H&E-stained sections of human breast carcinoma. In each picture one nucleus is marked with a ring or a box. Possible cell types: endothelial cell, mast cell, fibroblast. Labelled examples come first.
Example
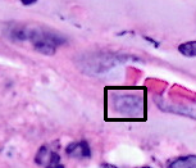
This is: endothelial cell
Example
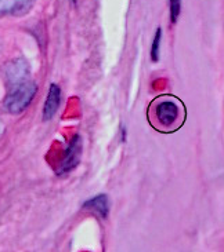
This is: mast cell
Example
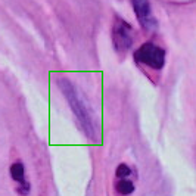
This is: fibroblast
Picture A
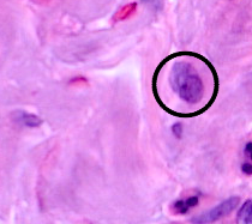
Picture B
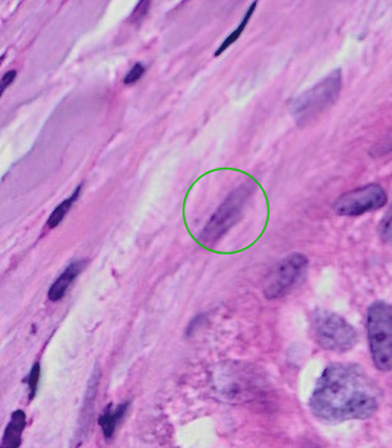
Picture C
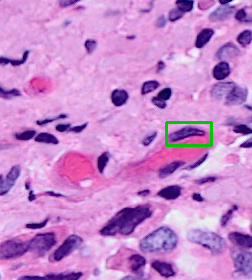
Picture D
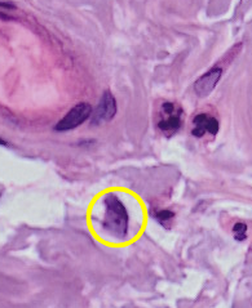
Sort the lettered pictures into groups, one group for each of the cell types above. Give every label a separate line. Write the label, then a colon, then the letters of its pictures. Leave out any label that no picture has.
endothelial cell: C
fibroblast: A, B, D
